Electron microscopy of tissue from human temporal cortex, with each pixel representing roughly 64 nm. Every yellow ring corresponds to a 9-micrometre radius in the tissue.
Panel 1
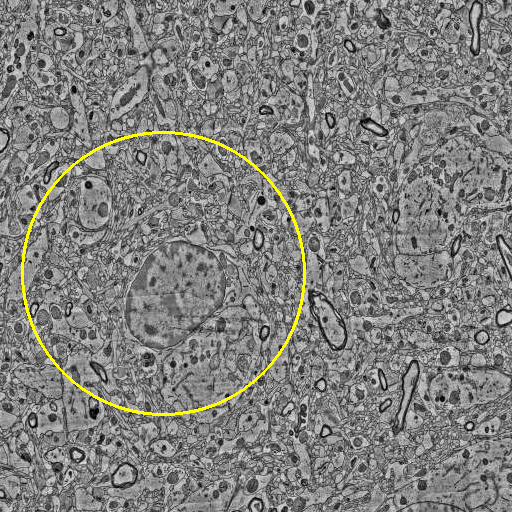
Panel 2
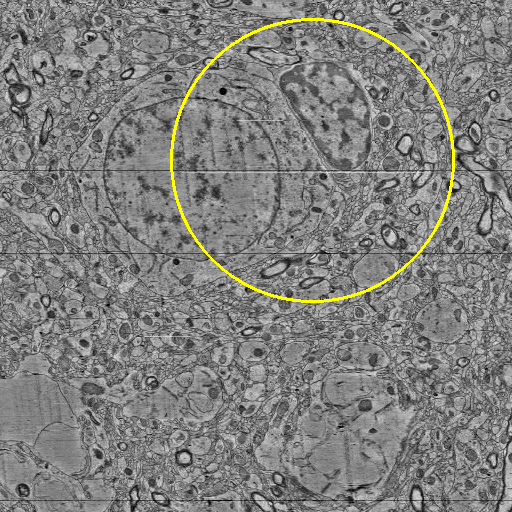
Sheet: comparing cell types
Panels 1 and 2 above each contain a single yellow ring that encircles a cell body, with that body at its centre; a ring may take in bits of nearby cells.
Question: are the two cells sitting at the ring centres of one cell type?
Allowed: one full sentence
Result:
Yes, the ring-centre cells in Panel 1 and Panel 2 are of one type.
